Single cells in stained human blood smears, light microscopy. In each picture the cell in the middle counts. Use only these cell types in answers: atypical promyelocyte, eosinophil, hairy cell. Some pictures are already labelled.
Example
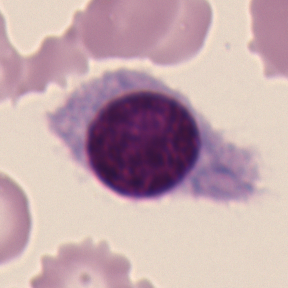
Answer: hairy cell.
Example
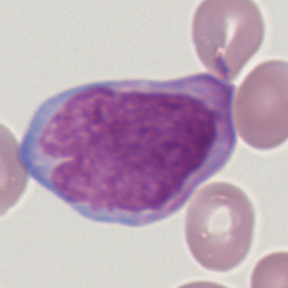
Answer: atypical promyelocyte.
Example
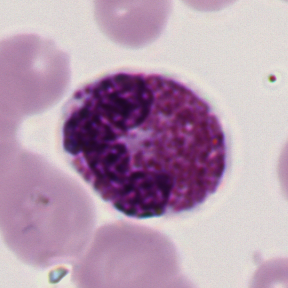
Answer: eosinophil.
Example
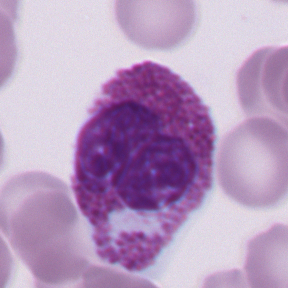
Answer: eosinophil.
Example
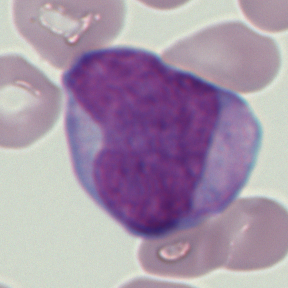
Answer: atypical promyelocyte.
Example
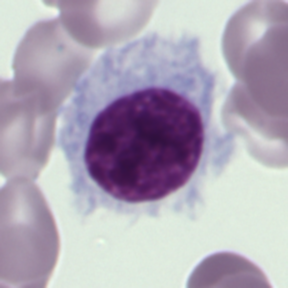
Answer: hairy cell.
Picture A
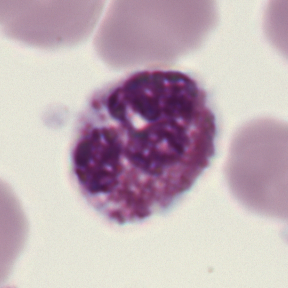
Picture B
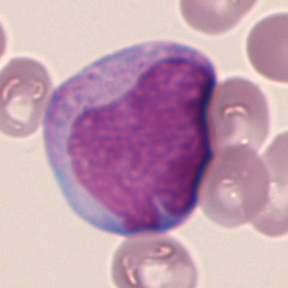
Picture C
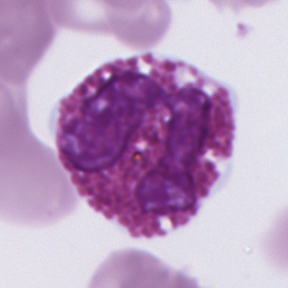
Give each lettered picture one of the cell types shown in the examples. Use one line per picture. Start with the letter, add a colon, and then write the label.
A: eosinophil.
B: atypical promyelocyte.
C: eosinophil.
